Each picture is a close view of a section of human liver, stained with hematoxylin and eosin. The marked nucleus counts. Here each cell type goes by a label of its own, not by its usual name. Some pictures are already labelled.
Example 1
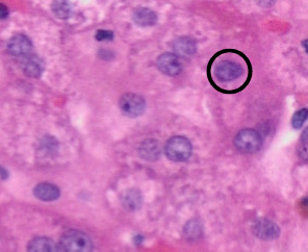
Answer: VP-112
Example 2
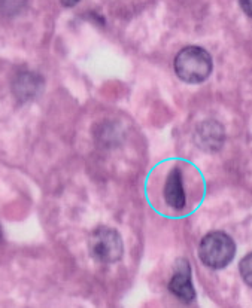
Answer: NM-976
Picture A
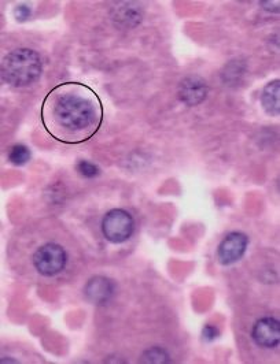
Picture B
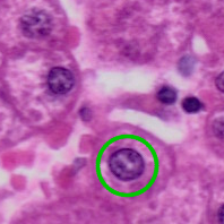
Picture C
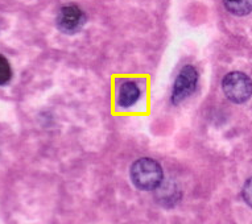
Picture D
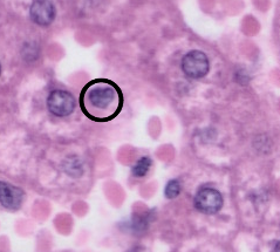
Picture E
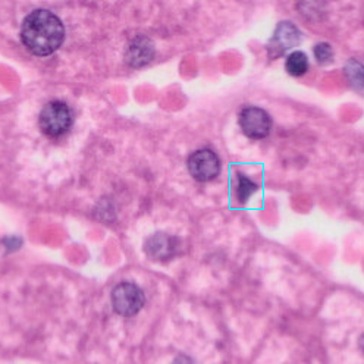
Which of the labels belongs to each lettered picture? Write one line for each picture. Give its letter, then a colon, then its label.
A: VP-112
B: VP-112
C: NM-976
D: NM-976
E: NM-976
